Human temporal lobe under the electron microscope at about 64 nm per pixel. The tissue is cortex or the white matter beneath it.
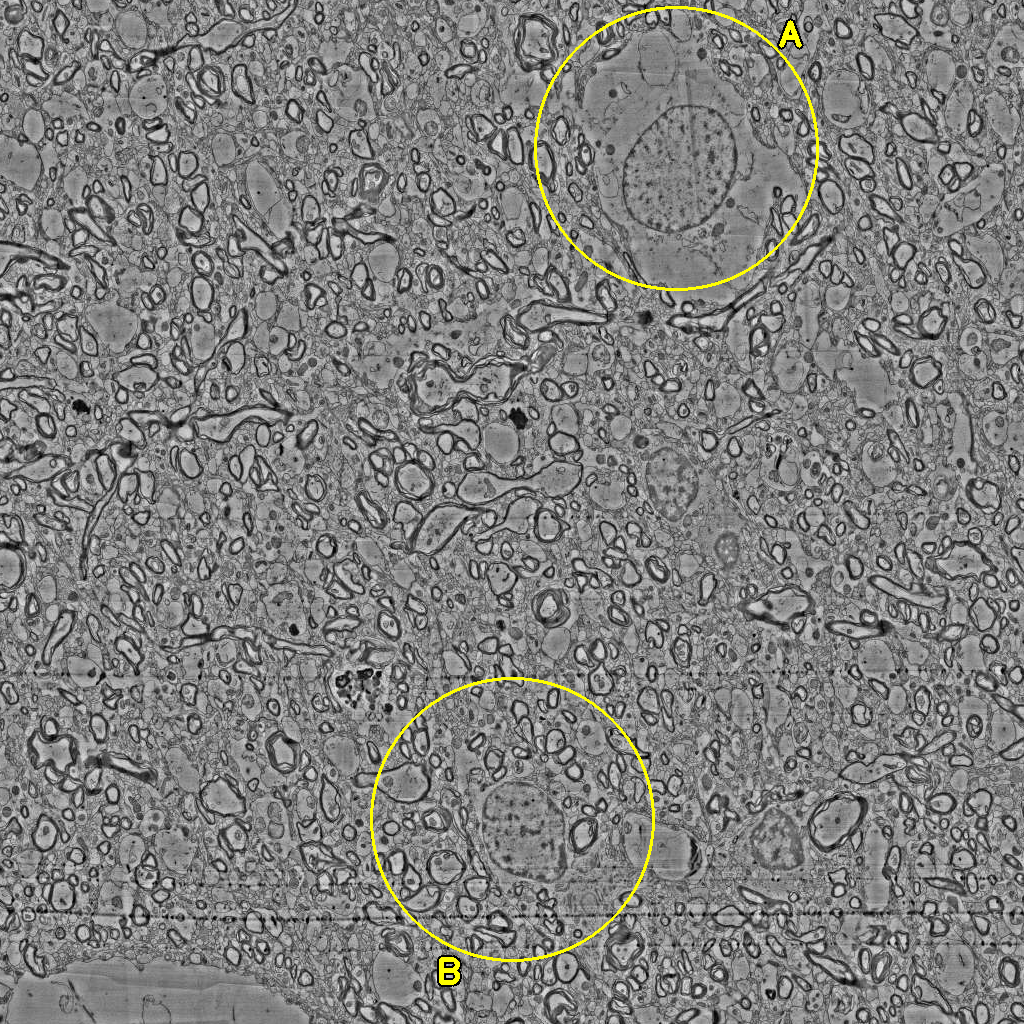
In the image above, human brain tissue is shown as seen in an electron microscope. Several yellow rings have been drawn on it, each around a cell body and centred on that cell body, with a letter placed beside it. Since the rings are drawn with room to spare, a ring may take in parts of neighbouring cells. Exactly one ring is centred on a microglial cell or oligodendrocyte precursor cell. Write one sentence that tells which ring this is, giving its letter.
The ring marked B is centred on it.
